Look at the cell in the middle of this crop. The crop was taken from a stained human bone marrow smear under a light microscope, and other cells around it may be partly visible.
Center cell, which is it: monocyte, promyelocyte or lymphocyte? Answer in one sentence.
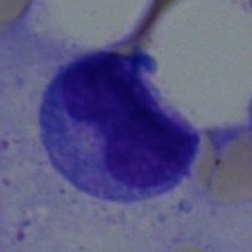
The cell the crop is centered on is a monocyte.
